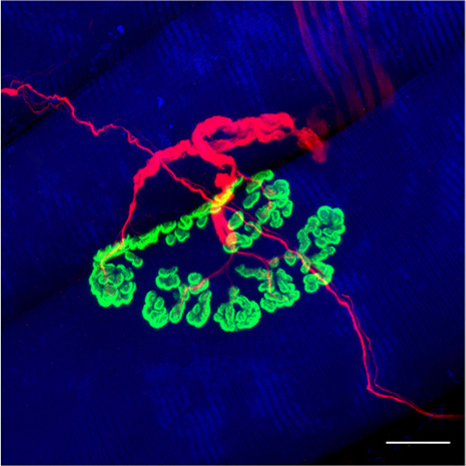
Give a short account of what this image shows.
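This whole-mount view shows skeletal muscle fibers with a neuromuscular junction lying on their surface. The muscle fibers appear as broad blue bands running diagonally across the field. On one fiber sits a large green cluster made of many curved, branched plaques arranged like a pretzel. Red nerve fibers, both thick bundles and thin single axons, travel across the muscle and send fine branches that end within the green plaques. The nerve terminals overlie the green plaques closely, giving a yellowish overlap where they meet.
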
